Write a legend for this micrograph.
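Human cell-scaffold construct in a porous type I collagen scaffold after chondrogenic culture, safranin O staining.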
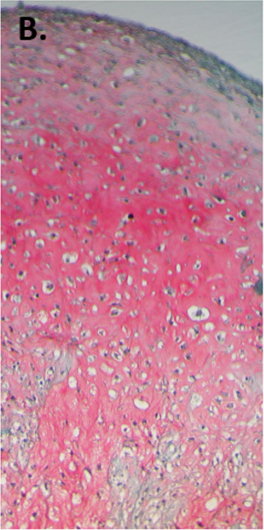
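Most of this section shows a dense, intensely red-stained matrix. Many rounded cells are scattered evenly through it, each sitting in a clear space around a small dark nucleus. Toward the upper edge the cells become flatter and lie closer together, and the surface has a thin greyish-green rim.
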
